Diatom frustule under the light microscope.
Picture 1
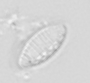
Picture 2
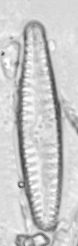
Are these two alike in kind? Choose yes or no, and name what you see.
No. First Nitzschia, second Gomphonema.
